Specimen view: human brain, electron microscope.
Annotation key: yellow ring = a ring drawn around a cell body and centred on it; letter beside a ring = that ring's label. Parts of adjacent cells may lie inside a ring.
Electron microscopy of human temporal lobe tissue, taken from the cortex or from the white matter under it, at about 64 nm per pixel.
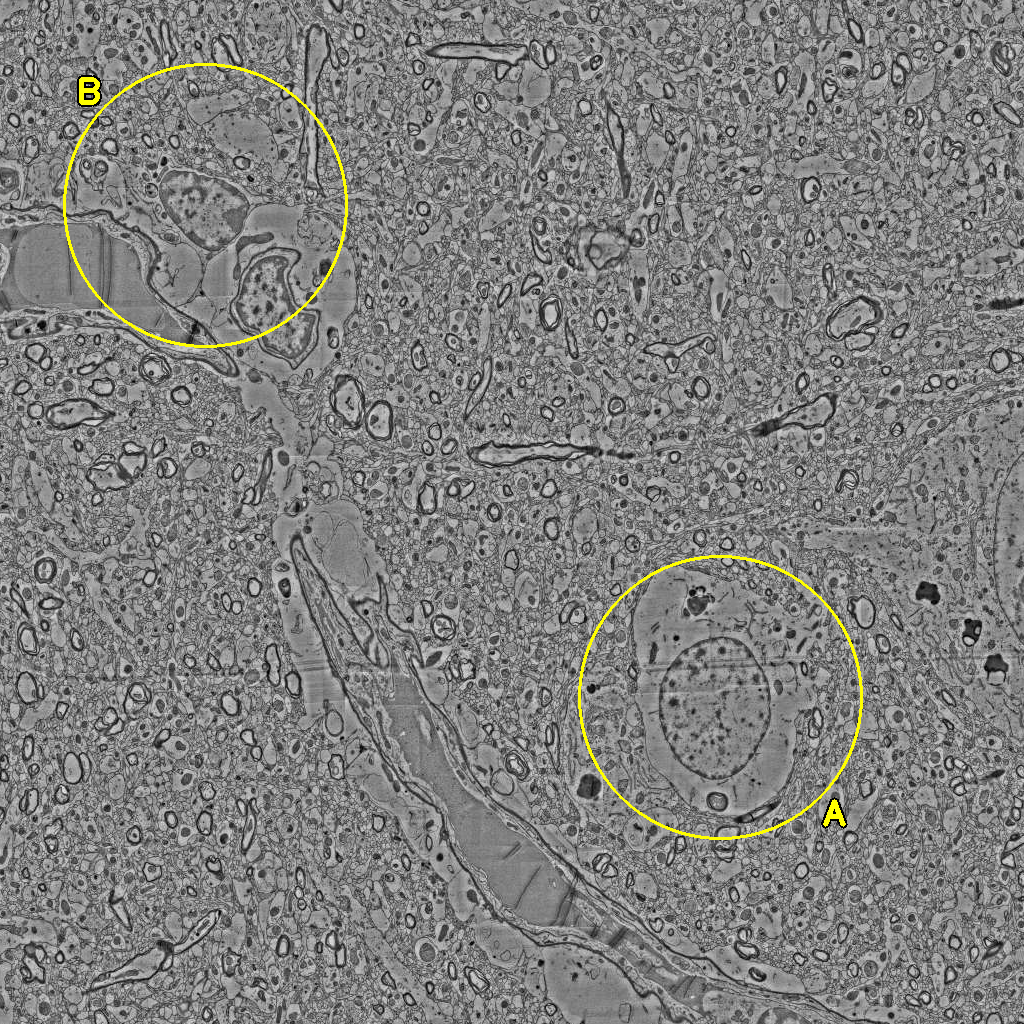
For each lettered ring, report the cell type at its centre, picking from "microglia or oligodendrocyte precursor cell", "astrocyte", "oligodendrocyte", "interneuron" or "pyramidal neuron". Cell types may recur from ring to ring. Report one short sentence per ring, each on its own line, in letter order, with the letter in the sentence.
The cell at the centre of ring A is an astrocyte.
The cell at the centre of ring B is a microglial cell or oligodendrocyte precursor cell.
